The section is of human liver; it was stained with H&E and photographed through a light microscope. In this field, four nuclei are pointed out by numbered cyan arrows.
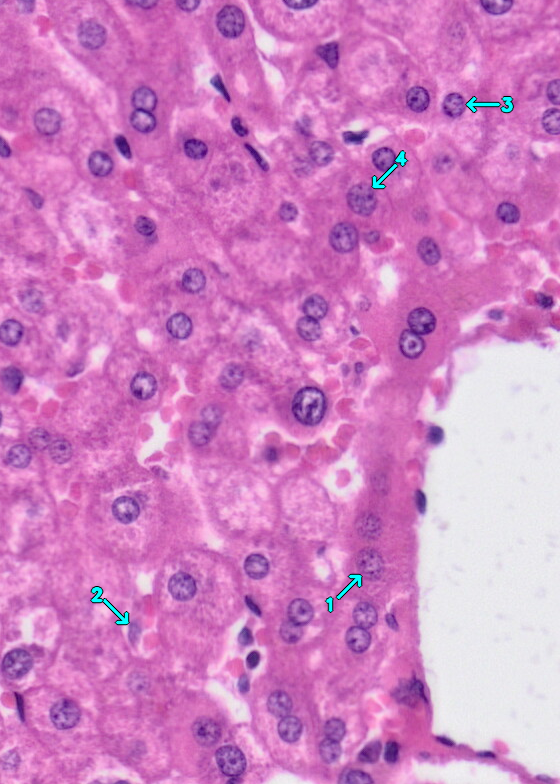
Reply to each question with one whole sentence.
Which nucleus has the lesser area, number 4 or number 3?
It is nucleus 3; nucleus 4 has about 1.5 times its area.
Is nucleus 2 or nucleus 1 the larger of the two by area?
Number 1 is larger; its area is about 2 times that of number 2.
